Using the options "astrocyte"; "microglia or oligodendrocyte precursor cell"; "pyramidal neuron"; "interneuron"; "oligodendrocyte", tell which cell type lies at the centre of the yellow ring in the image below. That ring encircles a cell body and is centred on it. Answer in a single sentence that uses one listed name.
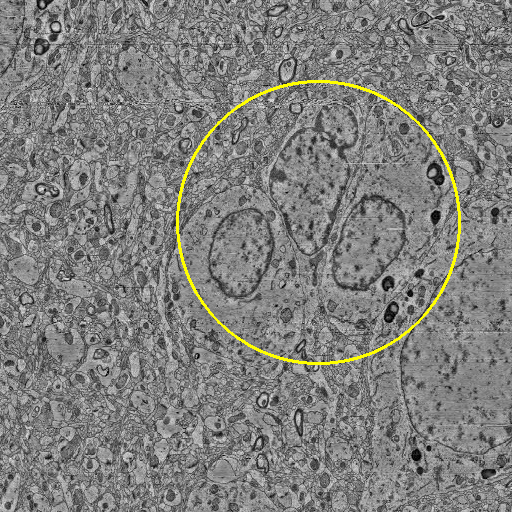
At the centre of the yellow ring lies the body of a microglial cell or oligodendrocyte precursor cell.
